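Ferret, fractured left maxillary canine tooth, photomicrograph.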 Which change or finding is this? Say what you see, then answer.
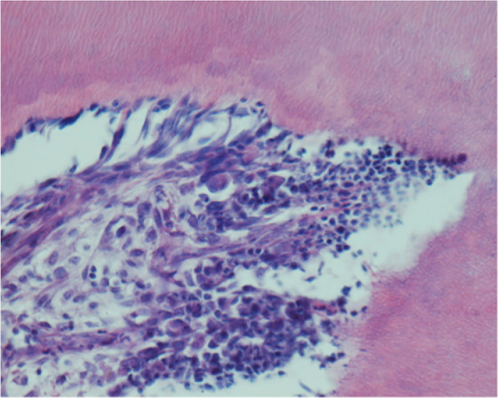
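Pleocellular pulpits. A loose connective tissue stroma is packed with many small, dark purple nuclei. The infiltrating cells are of mixed sizes and shapes, some round and some irregular. The cellular tissue lies against a pale pink, homogeneous, acellular hard-tissue matrix.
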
